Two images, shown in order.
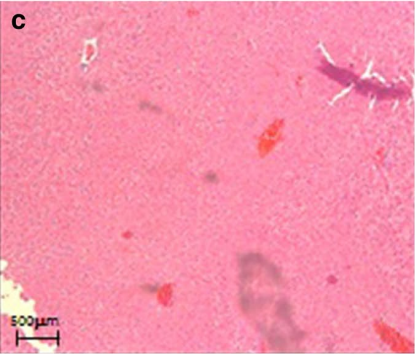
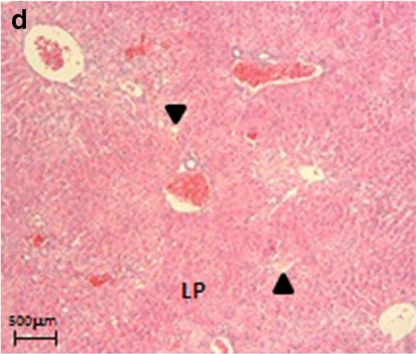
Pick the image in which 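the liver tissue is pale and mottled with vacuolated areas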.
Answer: the second image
